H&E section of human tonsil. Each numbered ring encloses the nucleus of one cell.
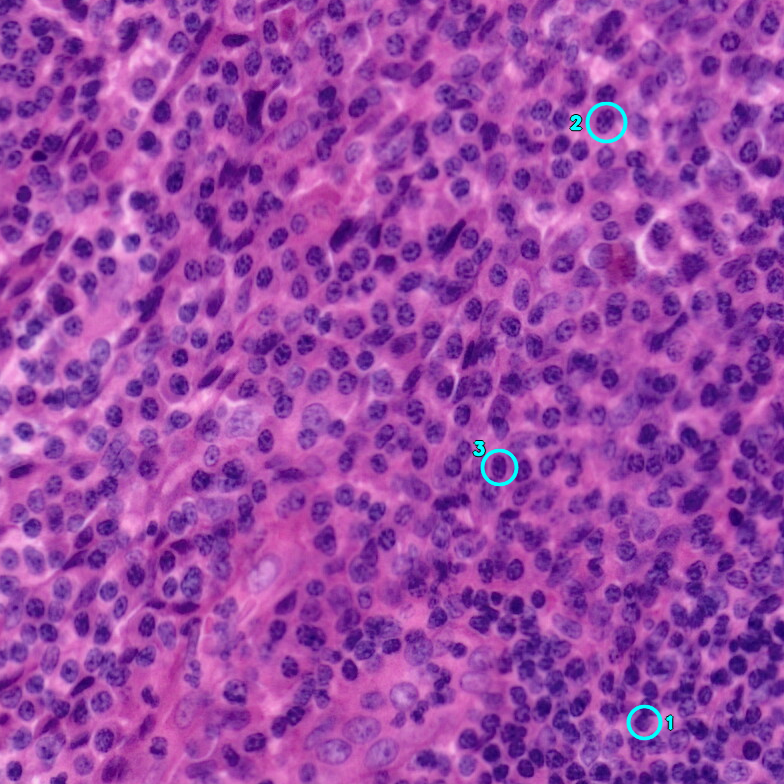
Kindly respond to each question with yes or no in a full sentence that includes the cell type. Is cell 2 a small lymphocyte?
No, number 2 points to a plasma cell and not to a small lymphocyte.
